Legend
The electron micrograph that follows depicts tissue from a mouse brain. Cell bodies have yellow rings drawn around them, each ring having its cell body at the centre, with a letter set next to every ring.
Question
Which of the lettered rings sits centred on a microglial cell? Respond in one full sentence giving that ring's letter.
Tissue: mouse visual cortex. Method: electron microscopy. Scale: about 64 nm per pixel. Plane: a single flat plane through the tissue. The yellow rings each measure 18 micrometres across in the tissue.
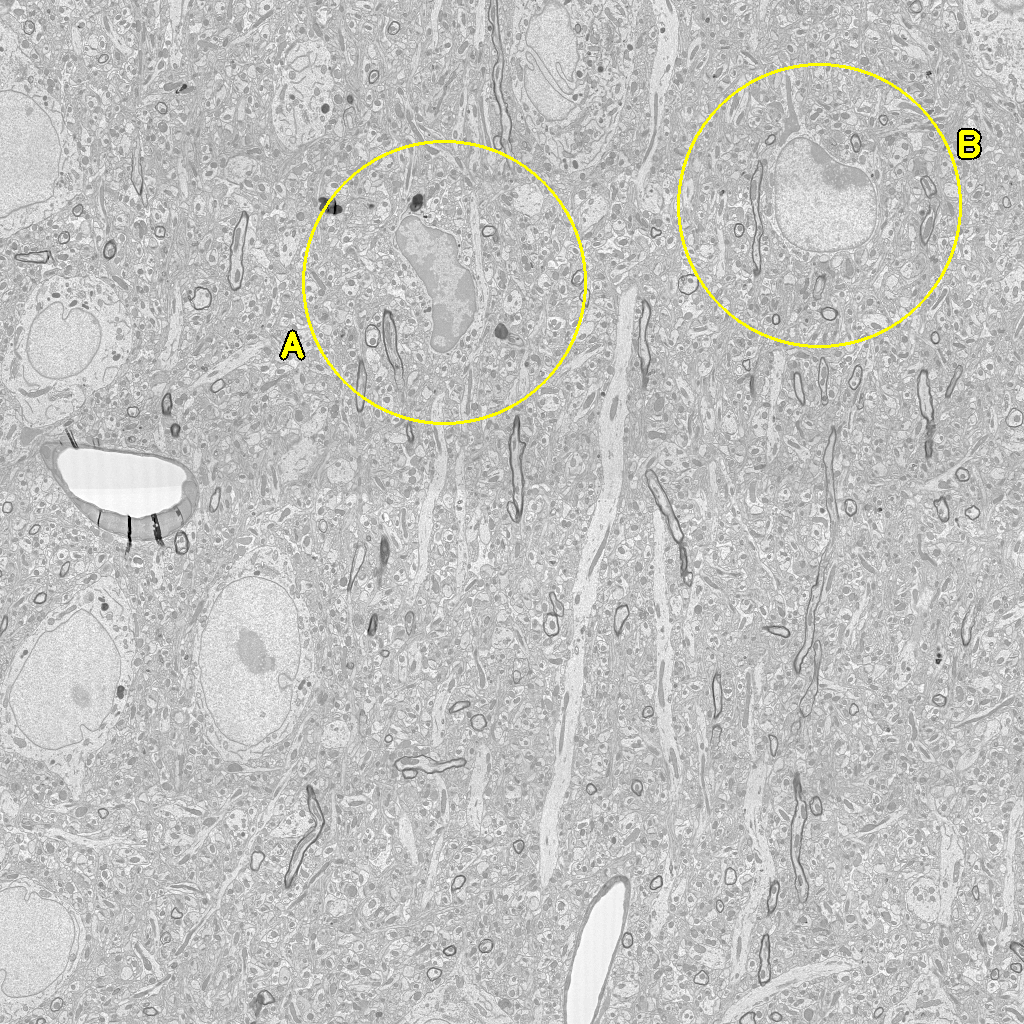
The letter A belongs to the ring centred on the cell asked about in the micrograph.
